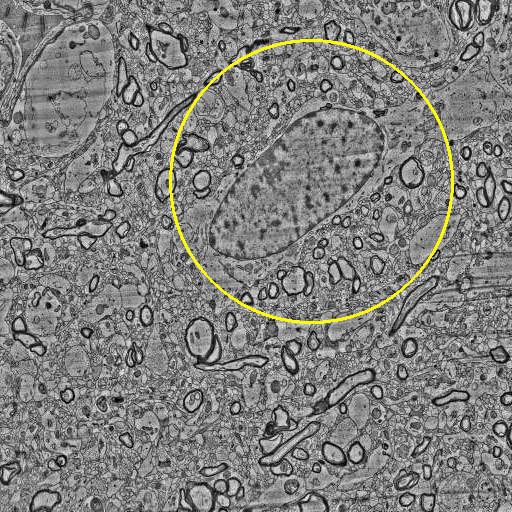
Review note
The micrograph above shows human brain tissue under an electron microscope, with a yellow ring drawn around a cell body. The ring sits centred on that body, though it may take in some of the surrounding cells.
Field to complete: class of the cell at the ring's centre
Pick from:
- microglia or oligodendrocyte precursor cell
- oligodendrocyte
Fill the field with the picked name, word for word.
microglia or oligodendrocyte precursor cell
